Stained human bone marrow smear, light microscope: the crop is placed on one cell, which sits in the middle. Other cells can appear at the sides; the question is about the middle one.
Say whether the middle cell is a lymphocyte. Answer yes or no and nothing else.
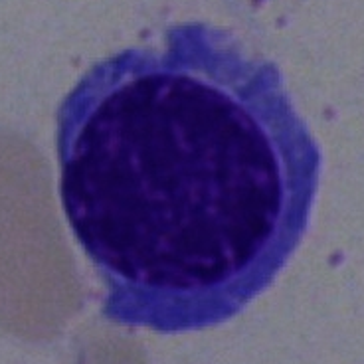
no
